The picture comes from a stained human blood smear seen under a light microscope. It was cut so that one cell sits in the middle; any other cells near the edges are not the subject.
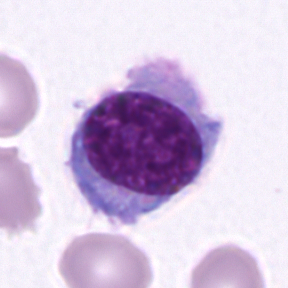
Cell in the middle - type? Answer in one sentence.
The cell of interest, in the center, is a plasma cell.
